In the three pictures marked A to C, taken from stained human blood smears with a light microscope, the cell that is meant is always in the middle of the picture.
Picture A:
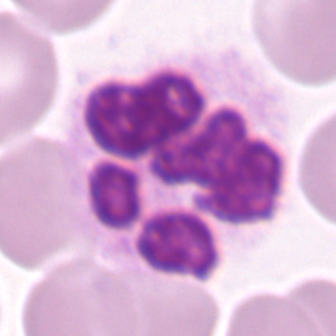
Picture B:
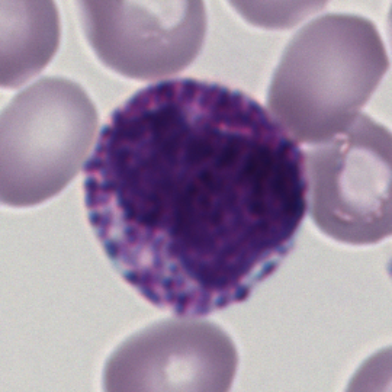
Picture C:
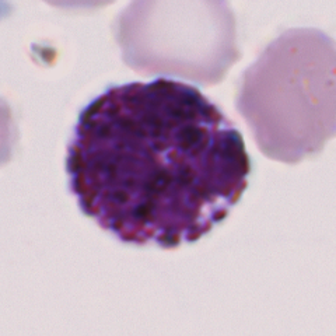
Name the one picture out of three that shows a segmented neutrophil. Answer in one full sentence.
The segmented neutrophil is the one in picture A.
